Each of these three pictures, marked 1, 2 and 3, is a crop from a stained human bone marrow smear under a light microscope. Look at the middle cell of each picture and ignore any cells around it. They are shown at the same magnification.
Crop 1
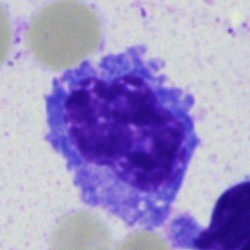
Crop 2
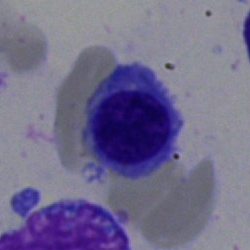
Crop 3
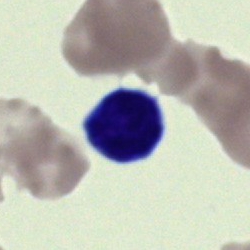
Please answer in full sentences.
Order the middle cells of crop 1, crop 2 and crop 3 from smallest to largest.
The order is 3, 2, 1, beginning with the smallest.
